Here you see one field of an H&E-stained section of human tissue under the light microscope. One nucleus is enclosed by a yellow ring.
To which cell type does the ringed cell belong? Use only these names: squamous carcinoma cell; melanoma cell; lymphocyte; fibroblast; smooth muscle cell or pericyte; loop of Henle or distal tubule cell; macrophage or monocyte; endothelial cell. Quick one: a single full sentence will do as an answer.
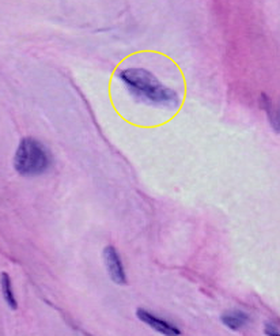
The cell type represented by the ringed cell is that of an endothelial cell.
